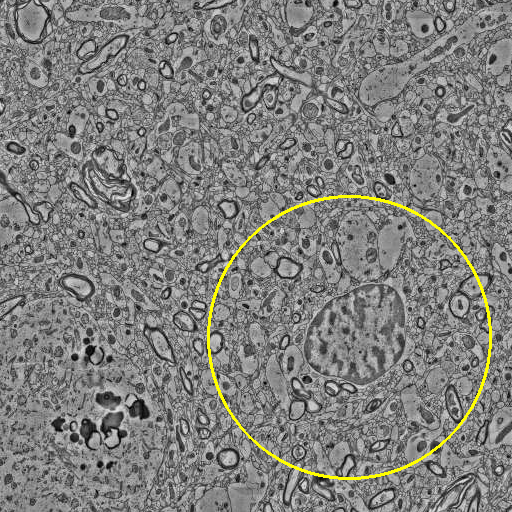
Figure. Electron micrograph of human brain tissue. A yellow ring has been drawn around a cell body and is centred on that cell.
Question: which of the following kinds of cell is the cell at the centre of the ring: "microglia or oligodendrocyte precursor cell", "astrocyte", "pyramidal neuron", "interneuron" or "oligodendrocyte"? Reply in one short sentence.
The cell at the centre of the ring is a microglial cell or oligodendrocyte precursor cell.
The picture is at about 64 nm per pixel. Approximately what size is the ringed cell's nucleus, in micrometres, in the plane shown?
Roughly 7 by 6 micrometres in this plane, for the nucleus of the ringed cell.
